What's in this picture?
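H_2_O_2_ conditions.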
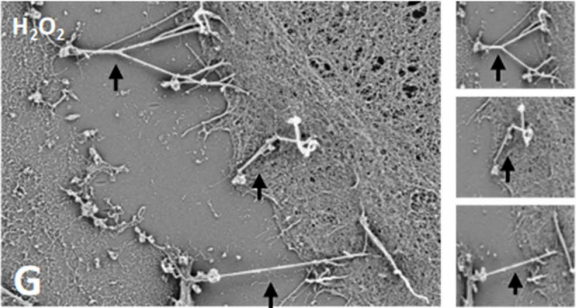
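Surface view of cultured cells with flattened, spread cell bodies and a rough, porous surface in the upper right. Long, very thin, straight strands run across the bare substrate, branching from small knotted anchor points and linking to distant cell regions. Shorter projections near the lower edge resemble filopodia.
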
